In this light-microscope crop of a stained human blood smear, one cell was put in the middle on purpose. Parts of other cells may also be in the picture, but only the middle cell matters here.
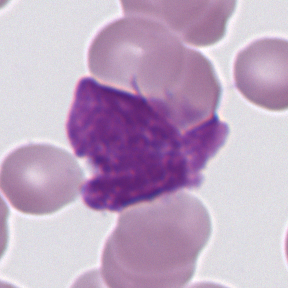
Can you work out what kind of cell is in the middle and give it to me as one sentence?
At the center of the crop sits a smudge cell.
